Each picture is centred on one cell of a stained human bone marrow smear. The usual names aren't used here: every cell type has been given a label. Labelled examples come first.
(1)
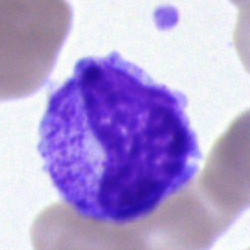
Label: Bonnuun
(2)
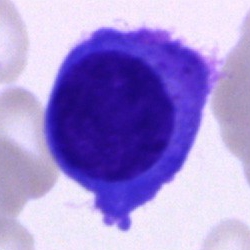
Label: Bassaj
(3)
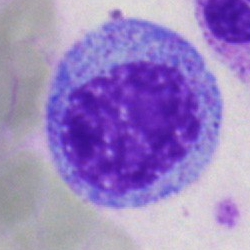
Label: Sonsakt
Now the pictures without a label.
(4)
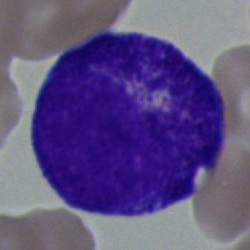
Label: Sonsakt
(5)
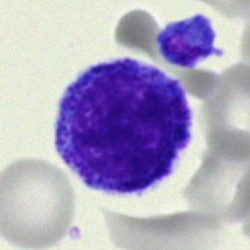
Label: Sonsakt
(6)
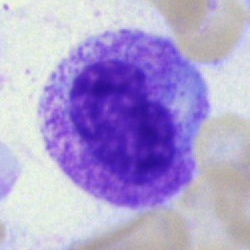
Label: Bonnuun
